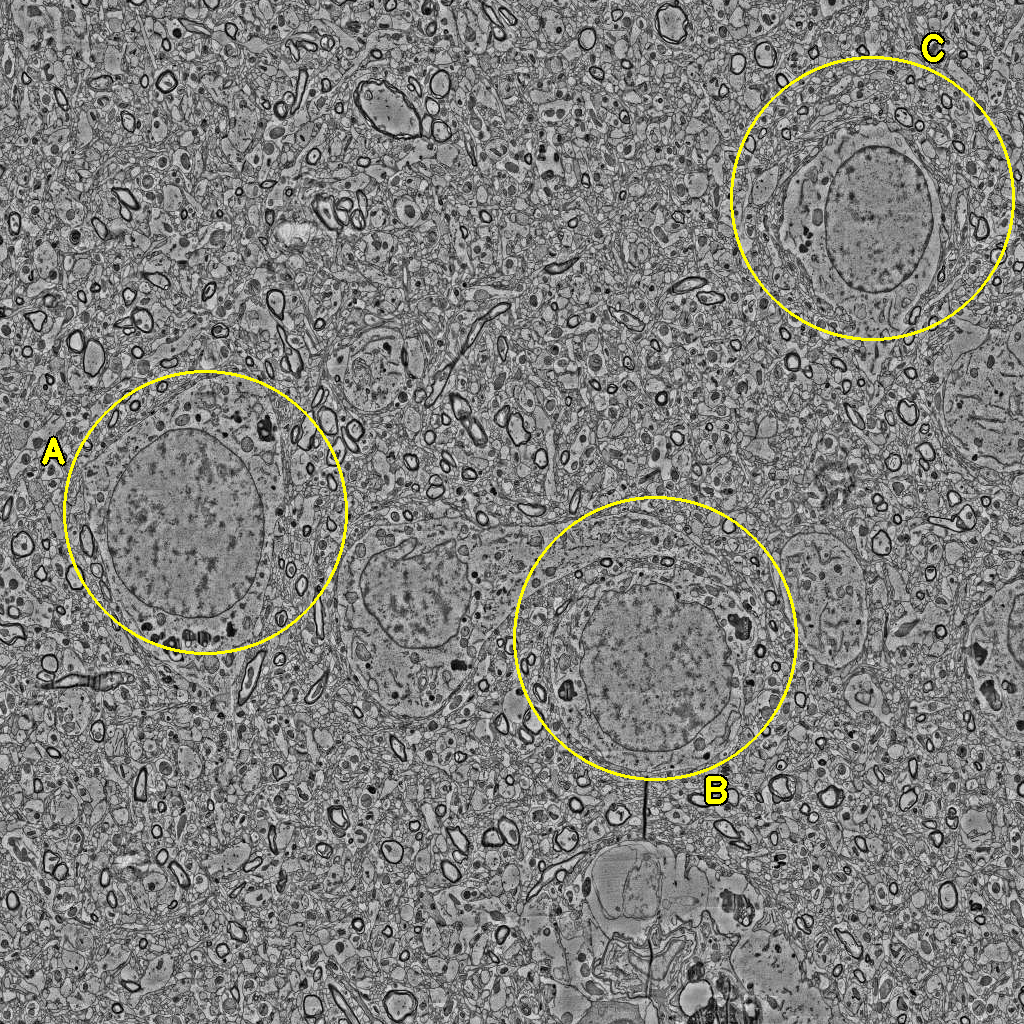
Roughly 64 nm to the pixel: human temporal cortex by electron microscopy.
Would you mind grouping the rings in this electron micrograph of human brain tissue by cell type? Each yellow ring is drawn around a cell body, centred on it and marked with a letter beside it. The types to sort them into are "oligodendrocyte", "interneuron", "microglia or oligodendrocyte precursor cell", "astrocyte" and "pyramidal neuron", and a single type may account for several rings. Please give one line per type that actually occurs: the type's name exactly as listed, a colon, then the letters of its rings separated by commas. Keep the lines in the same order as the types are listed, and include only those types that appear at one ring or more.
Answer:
astrocyte: C
pyramidal neuron: A, B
